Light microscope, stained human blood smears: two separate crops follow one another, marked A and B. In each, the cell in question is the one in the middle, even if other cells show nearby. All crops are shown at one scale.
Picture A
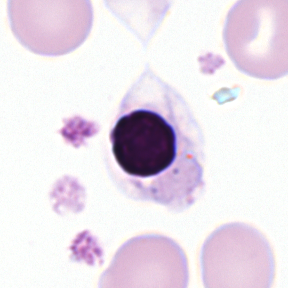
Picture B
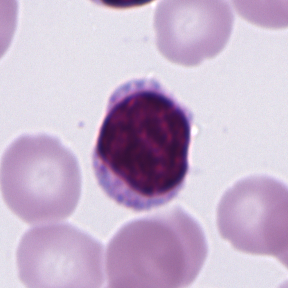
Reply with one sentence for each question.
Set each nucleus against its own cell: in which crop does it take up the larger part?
It is the cell in picture B that is filled more by its nucleus.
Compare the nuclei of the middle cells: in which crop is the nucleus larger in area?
Picture B shows the larger nucleus; it covers about 2 times the area of the nucleus in picture A.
